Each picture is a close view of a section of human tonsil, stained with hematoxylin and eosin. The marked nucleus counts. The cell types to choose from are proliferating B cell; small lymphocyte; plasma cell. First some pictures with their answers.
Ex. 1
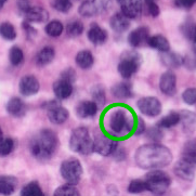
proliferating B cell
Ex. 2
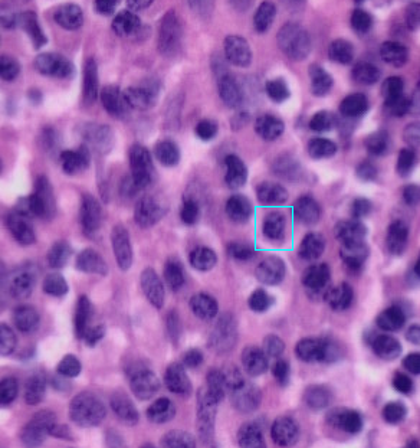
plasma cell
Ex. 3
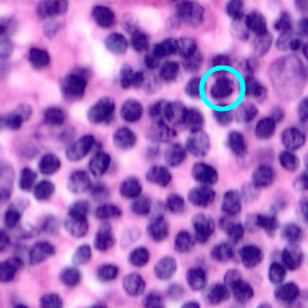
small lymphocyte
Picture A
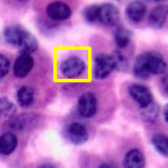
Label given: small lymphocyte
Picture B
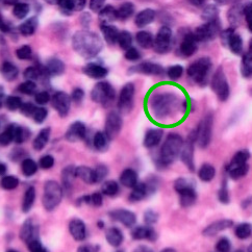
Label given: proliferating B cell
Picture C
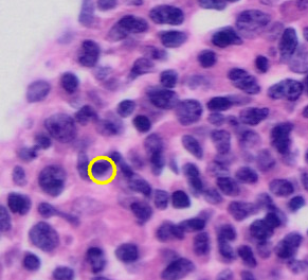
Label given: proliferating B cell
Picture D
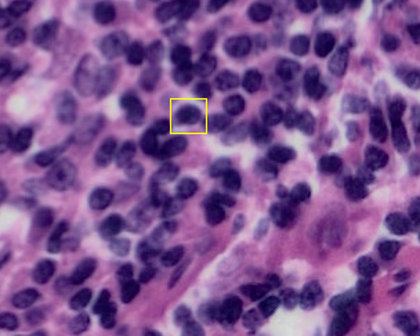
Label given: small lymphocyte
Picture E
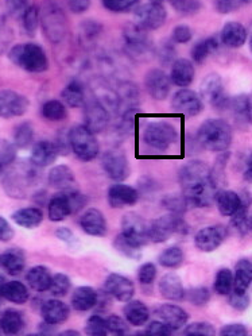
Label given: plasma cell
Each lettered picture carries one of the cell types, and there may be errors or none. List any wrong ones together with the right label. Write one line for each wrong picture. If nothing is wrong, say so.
A should be plasma cell, not small lymphocyte
E should be proliferating B cell, not plasma cell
